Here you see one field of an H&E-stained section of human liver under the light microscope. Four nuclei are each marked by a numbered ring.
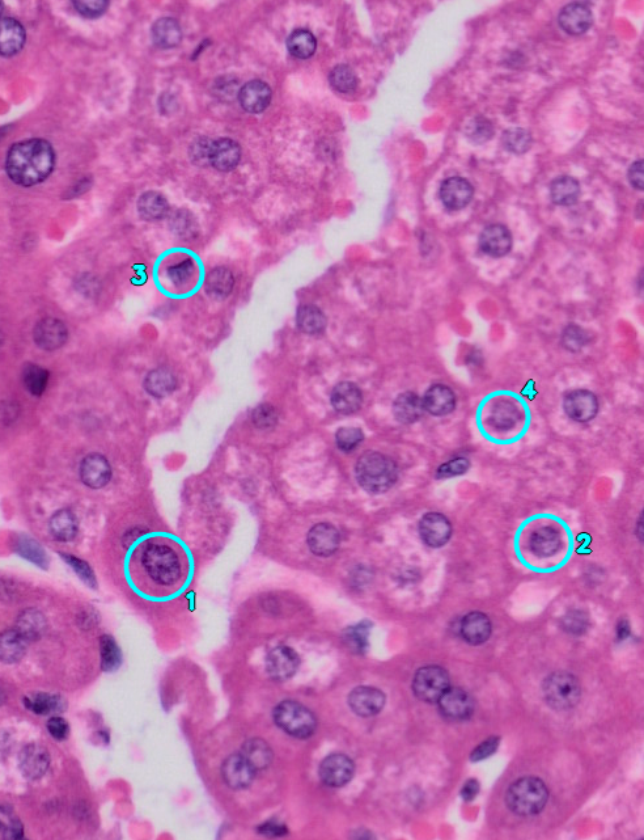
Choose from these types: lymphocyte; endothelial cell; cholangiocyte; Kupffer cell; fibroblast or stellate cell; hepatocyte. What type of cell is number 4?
hepatocyte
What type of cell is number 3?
fibroblast or stellate cell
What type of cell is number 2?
hepatocyte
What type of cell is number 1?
hepatocyte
